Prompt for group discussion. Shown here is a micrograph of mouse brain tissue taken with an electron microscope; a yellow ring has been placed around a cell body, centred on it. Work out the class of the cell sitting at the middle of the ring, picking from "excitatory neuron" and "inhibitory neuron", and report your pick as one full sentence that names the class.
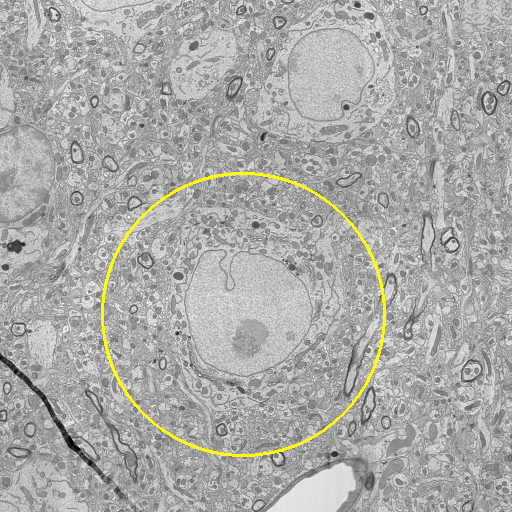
The cell sitting at the middle of the yellow ring is an inhibitory neuron.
